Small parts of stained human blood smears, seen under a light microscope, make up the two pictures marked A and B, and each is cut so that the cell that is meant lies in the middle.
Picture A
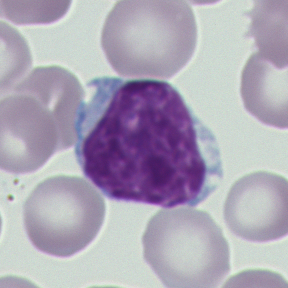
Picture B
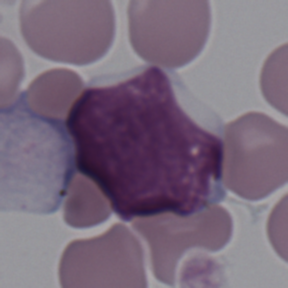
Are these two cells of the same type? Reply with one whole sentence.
Yes, both are typical lymphocytes.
